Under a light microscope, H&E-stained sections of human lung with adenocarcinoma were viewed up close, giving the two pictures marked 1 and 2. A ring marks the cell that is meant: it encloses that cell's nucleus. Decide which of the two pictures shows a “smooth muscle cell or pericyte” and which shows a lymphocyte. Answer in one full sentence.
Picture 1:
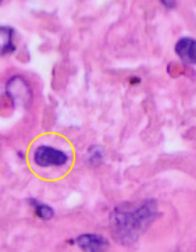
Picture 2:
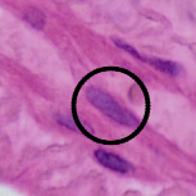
The cell in picture 1 is a lymphocyte, and the one in picture 2 is a “smooth muscle cell or pericyte”.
